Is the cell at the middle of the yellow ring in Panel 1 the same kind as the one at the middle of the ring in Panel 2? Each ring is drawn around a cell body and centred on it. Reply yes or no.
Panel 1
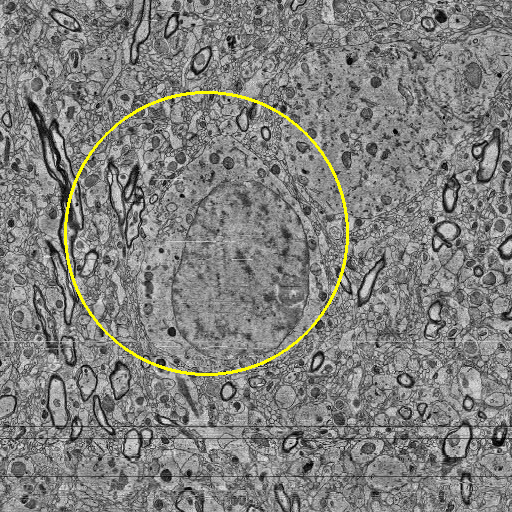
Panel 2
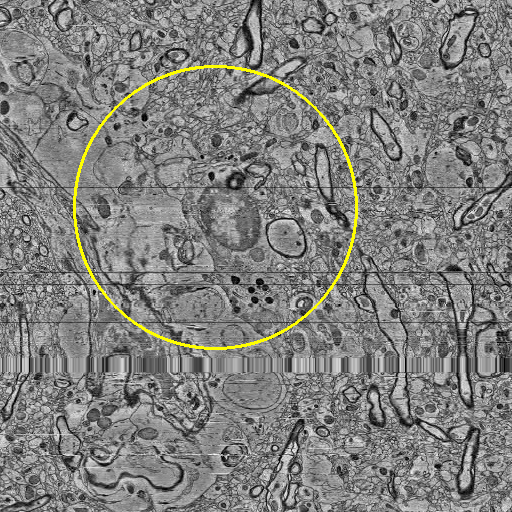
no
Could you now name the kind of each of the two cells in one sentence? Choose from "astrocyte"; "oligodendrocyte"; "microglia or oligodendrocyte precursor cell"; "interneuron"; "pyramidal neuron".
The first ring encloses an interneuron; the second ring encloses an oligodendrocyte.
